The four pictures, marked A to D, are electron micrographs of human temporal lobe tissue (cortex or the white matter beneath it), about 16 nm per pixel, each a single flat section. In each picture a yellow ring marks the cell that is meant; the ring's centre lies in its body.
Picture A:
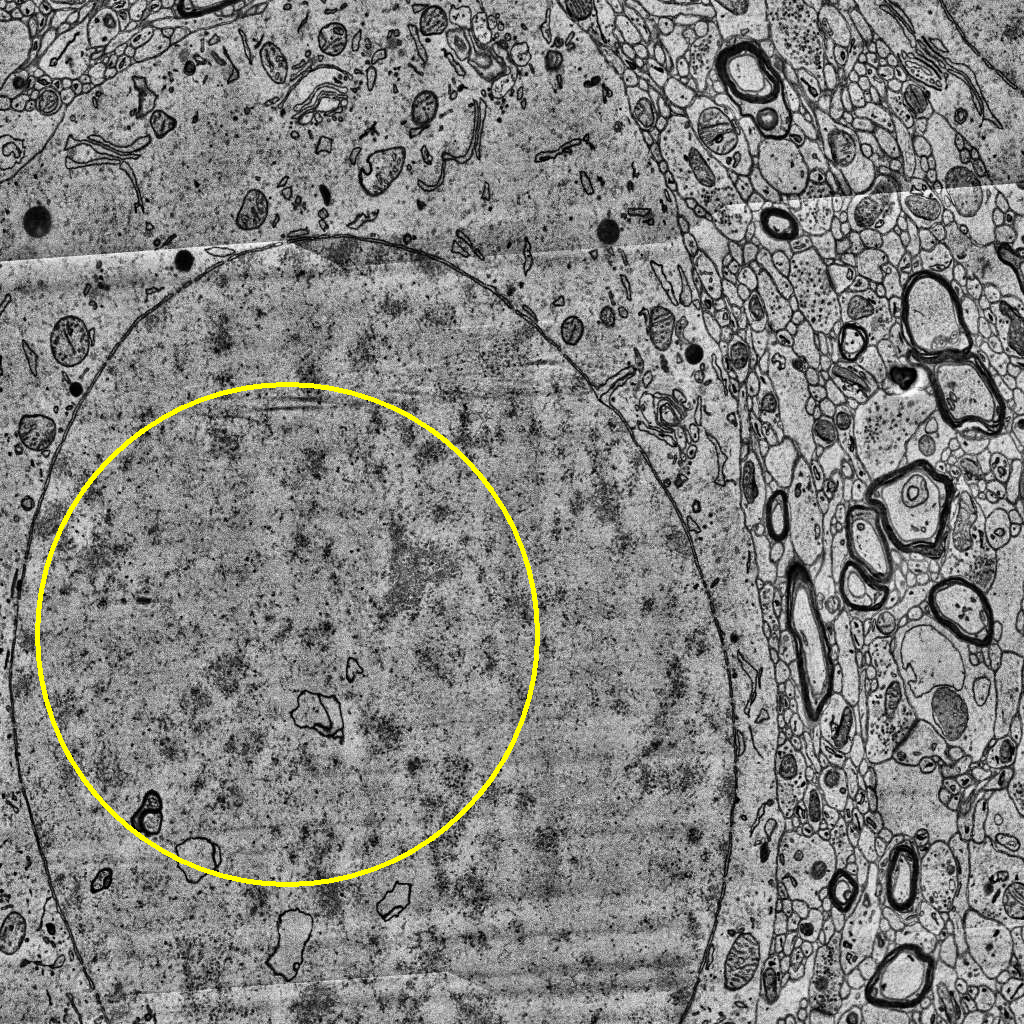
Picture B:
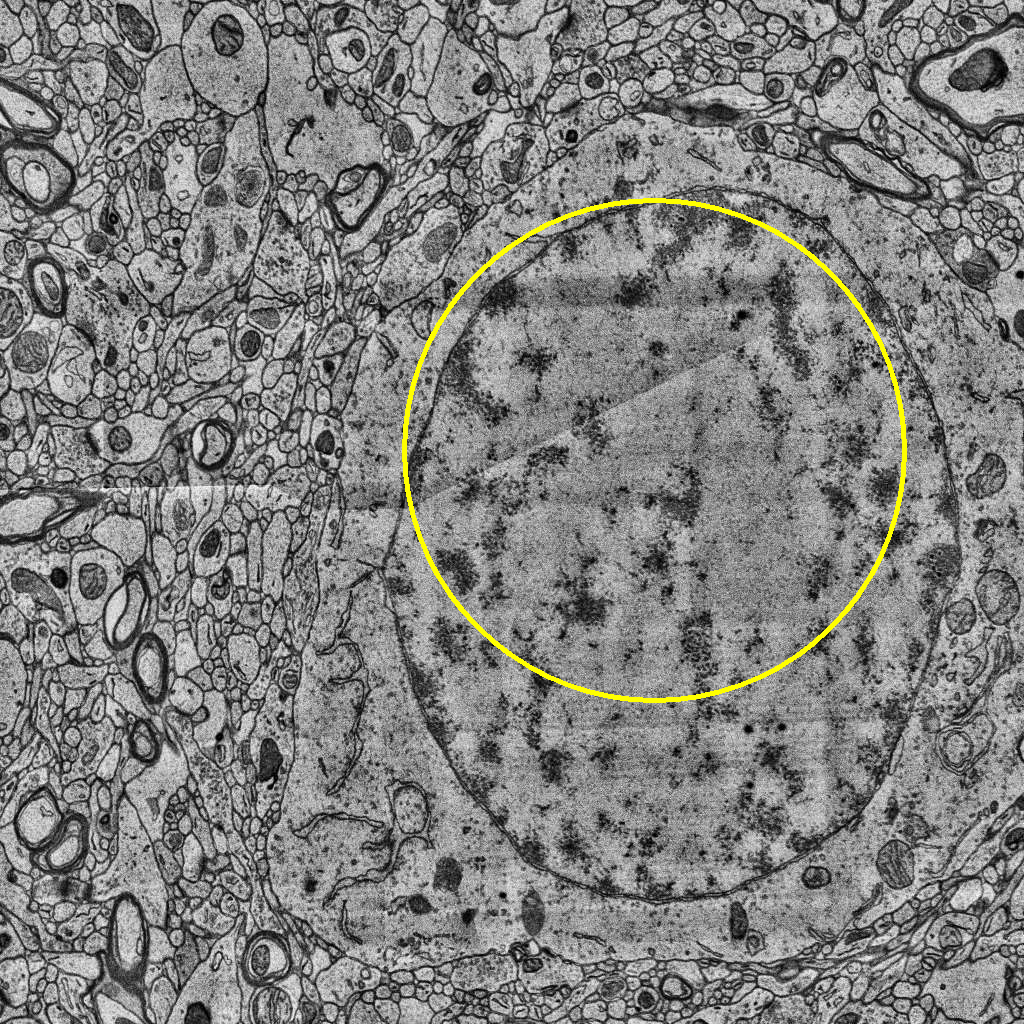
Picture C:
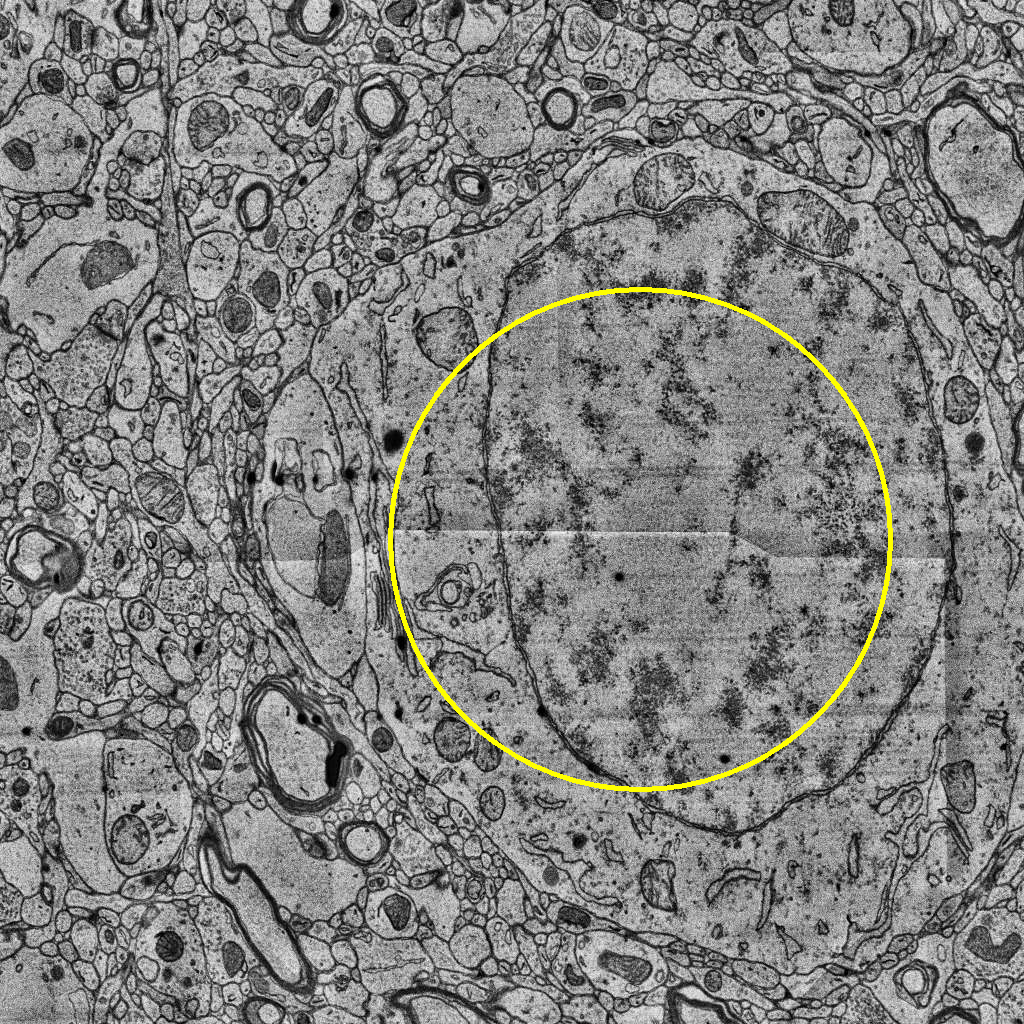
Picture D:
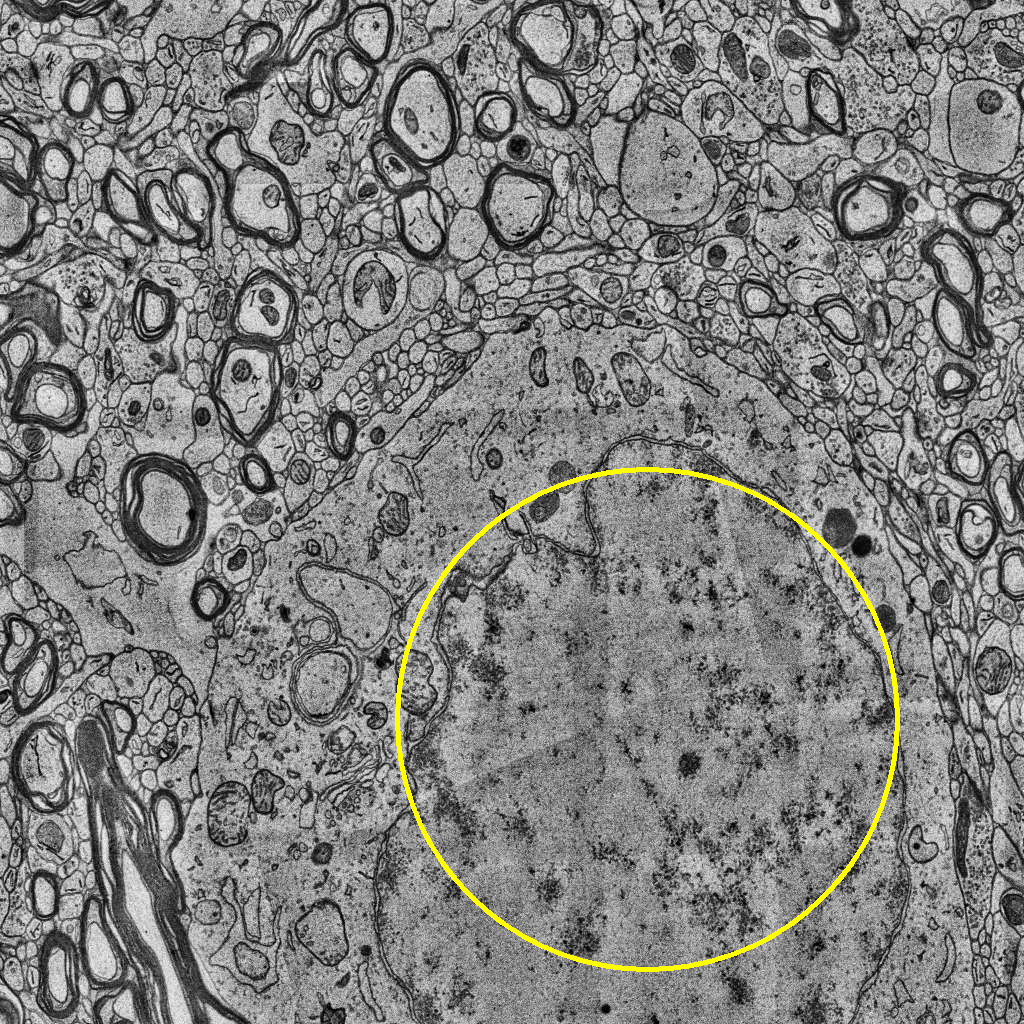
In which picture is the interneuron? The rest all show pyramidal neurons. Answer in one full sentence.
The picture with the interneuron is D.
